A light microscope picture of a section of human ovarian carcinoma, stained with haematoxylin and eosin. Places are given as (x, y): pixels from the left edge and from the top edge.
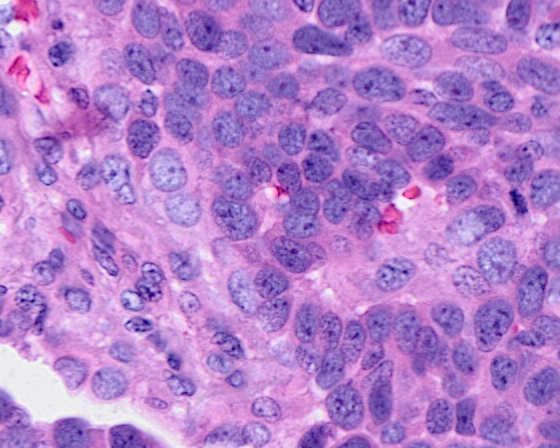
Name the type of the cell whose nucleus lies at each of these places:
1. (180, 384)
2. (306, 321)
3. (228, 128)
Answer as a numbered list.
1. fibroblast
2. carcinoma cell
3. carcinoma cell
